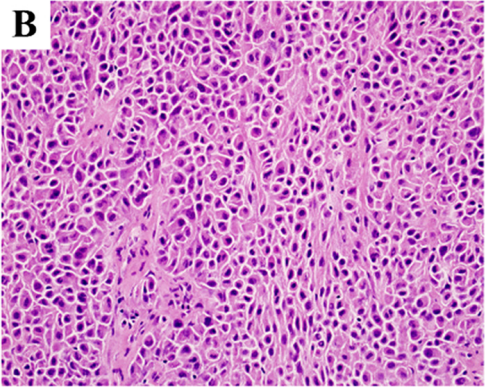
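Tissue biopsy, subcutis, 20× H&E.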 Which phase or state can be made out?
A: somewhat discohesive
